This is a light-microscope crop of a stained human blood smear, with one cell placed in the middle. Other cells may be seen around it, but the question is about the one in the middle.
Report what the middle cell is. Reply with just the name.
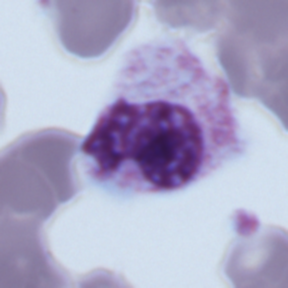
neutrophil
